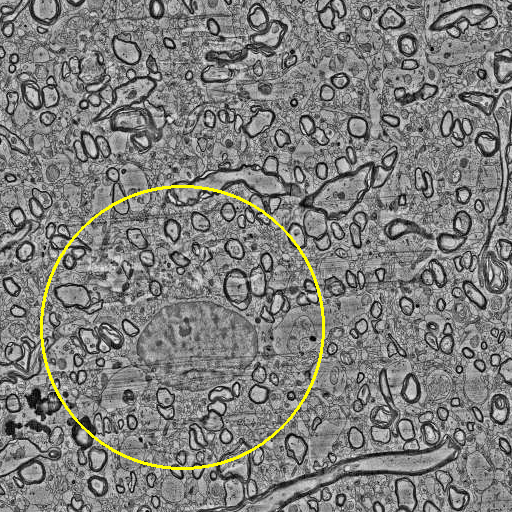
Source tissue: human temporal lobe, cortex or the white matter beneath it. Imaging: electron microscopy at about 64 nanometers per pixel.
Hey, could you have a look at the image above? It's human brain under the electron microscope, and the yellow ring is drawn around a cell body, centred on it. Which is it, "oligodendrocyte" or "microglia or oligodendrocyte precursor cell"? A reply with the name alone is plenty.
oligodendrocyte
